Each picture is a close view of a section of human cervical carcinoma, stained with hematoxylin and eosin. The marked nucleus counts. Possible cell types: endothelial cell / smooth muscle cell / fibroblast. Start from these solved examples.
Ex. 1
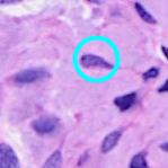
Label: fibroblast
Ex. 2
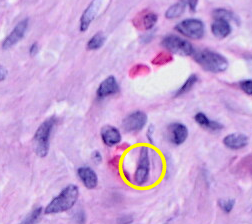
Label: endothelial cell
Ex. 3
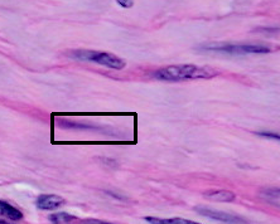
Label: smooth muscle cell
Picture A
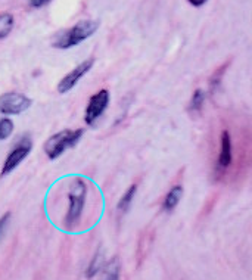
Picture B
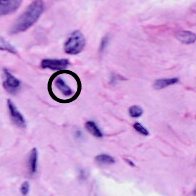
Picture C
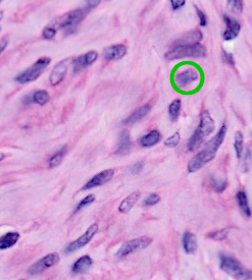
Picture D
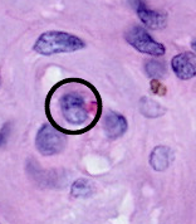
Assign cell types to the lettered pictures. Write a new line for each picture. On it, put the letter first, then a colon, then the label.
A: smooth muscle cell
B: fibroblast
C: smooth muscle cell
D: endothelial cell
